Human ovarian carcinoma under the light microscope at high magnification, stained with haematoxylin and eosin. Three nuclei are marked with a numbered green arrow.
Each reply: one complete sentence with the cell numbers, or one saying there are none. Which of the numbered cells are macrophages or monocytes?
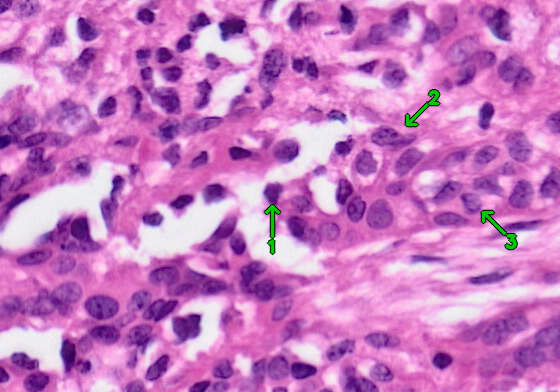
Cell 3 is a macrophage or monocyte, whereas each of the other numbered cells is not.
